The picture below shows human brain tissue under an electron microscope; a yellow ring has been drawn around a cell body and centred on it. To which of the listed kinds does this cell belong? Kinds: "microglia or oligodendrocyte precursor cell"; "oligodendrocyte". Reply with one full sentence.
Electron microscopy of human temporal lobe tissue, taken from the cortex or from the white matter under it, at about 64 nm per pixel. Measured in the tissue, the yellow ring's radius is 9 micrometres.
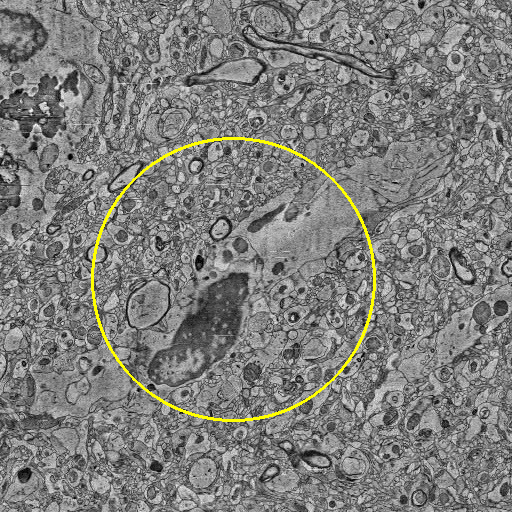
It is a microglial cell or oligodendrocyte precursor cell that the yellow ring in the picture is centred on.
